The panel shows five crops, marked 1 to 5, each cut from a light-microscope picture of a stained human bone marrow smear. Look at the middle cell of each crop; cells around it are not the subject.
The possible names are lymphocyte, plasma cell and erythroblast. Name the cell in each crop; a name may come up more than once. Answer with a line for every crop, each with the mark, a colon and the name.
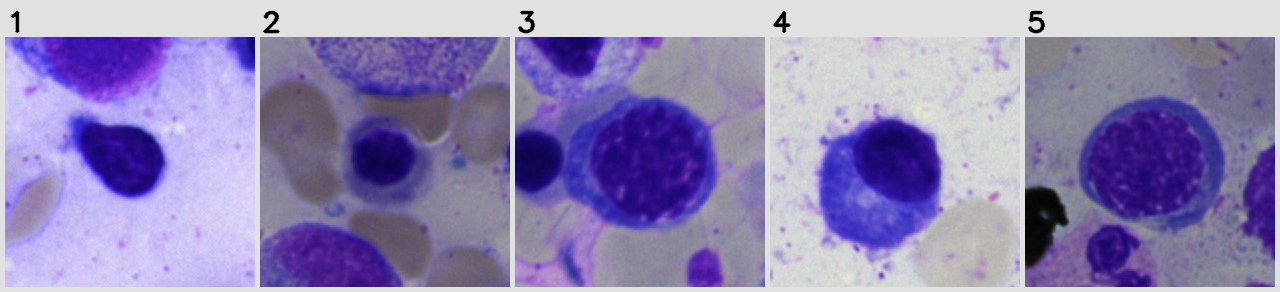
1: lymphocyte
2: erythroblast
3: erythroblast
4: plasma cell
5: erythroblast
